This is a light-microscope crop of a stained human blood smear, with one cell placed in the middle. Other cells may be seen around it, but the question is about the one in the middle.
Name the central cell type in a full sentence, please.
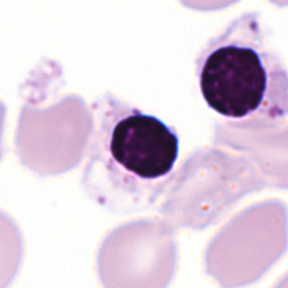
Framed in the middle of the crop is a normoblast.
